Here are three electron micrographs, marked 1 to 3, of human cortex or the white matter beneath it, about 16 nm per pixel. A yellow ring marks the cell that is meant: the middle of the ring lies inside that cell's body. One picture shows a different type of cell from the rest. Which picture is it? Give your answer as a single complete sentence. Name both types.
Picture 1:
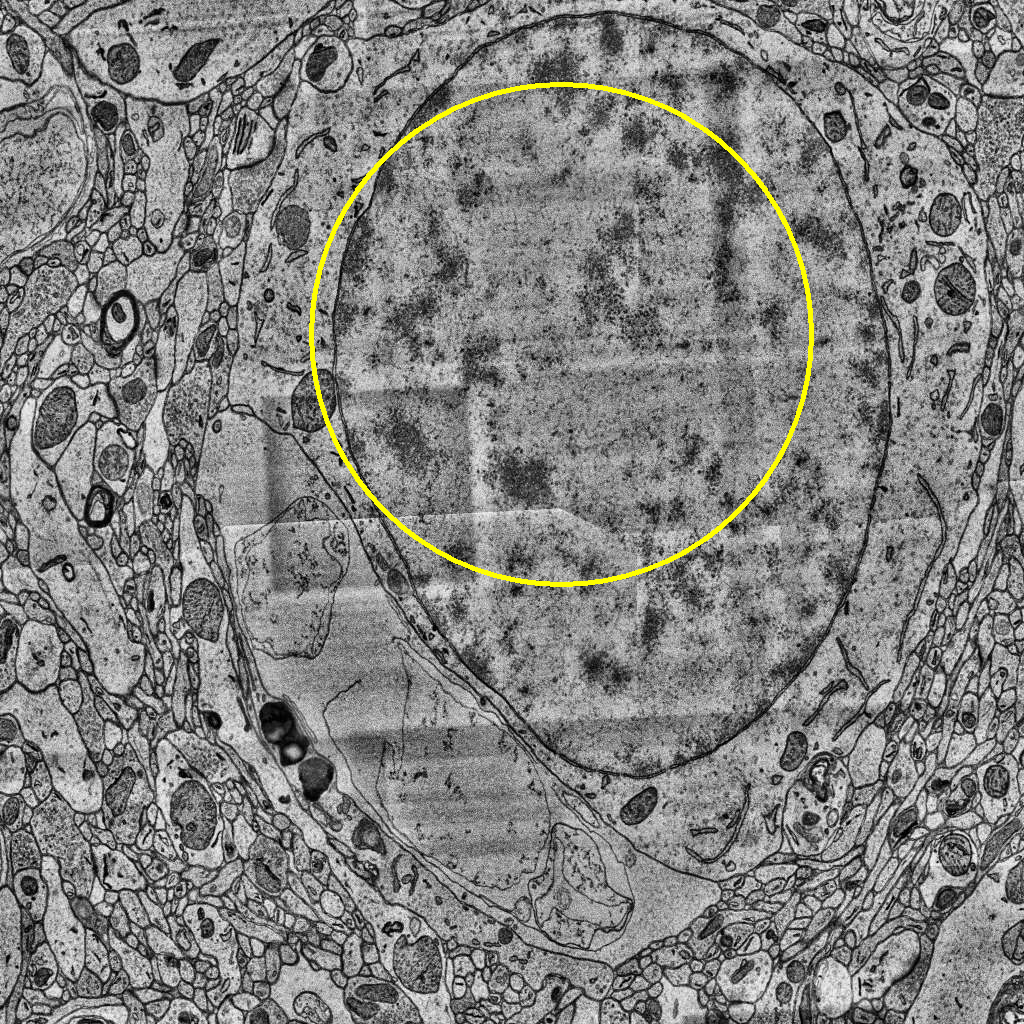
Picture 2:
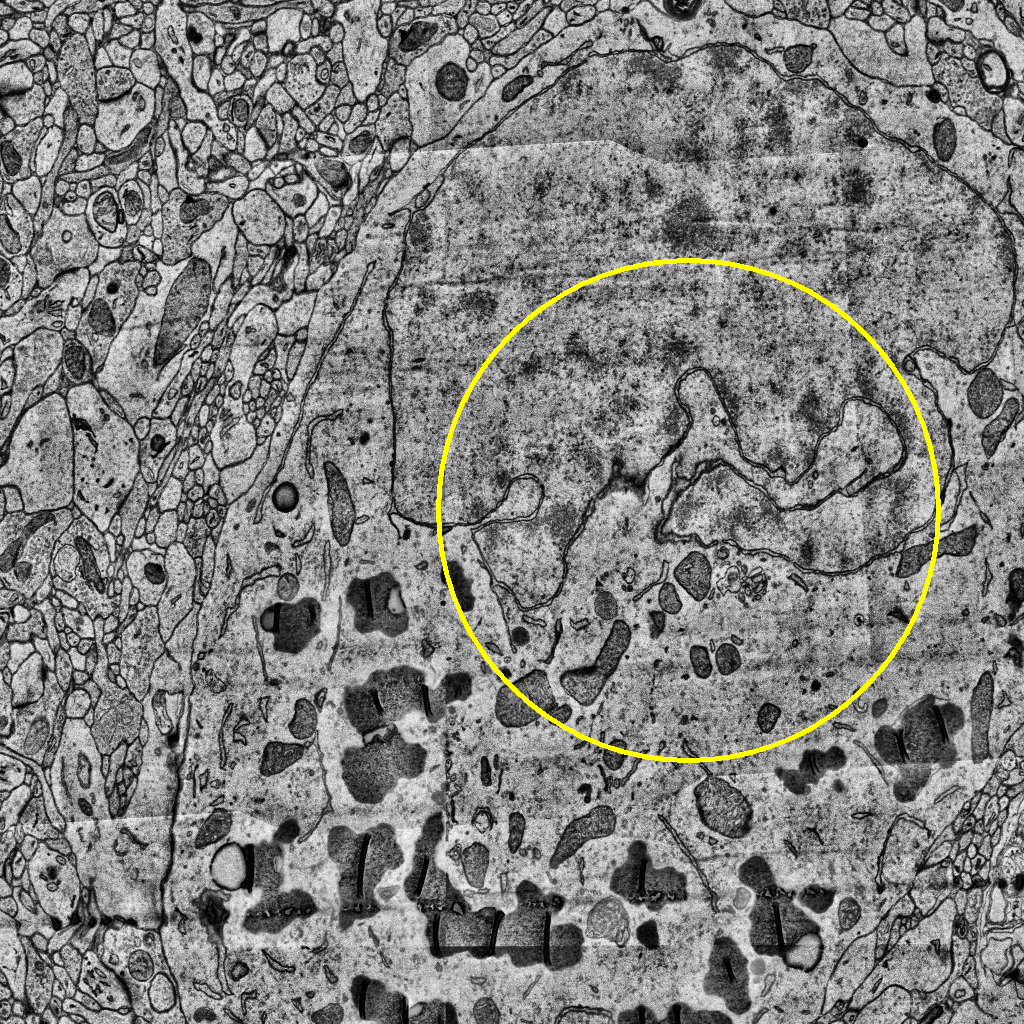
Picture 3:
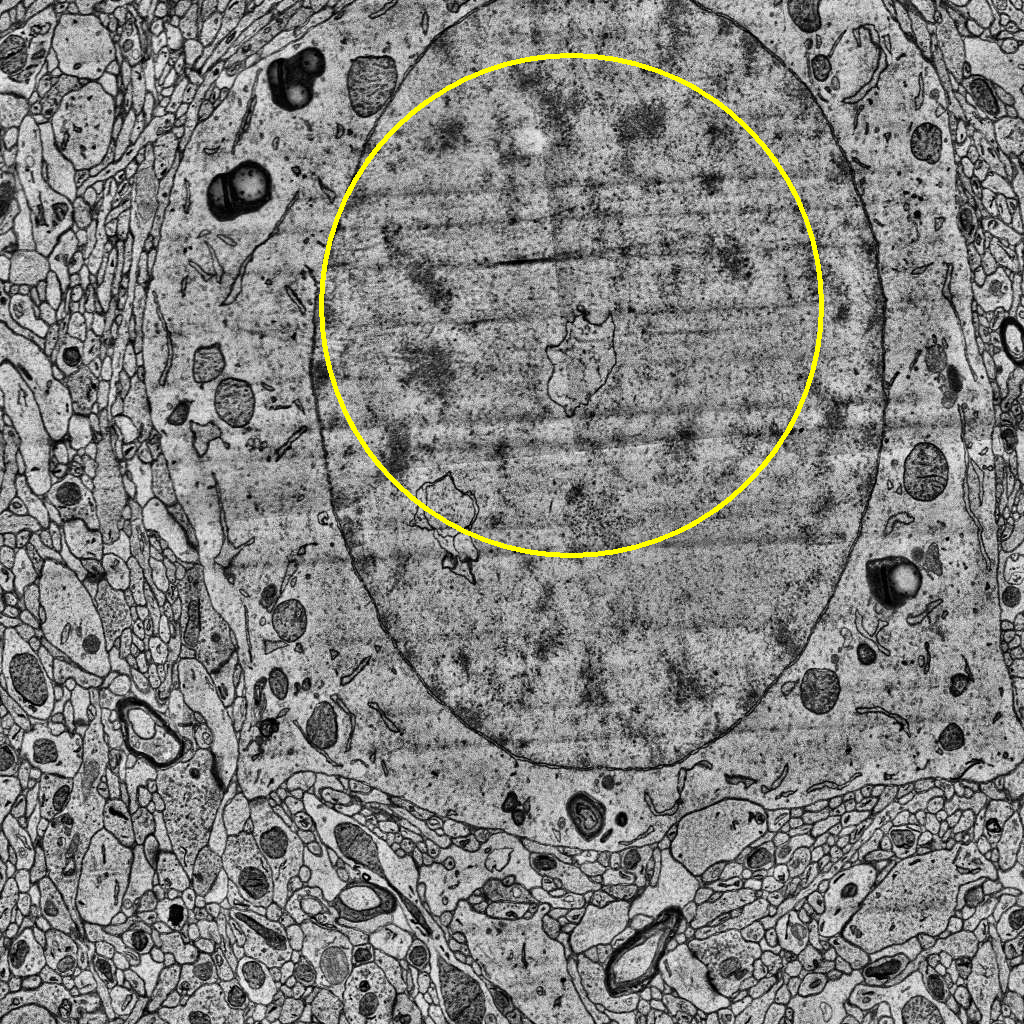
Picture 2 is the odd one out: it shows an interneuron, while the others show pyramidal neurons.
